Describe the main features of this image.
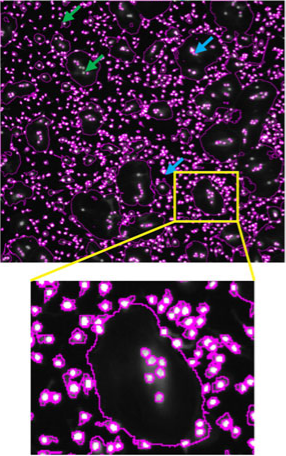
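This field shows a dense culture of small round nuclei of single cells scattered between larger, pale multinucleated cells. The larger cells appear as faint grey oval areas with a group of nuclei close together inside them. In the magnified view a single large cell with its central cluster of nuclei is surrounded by many small separate nuclei.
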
